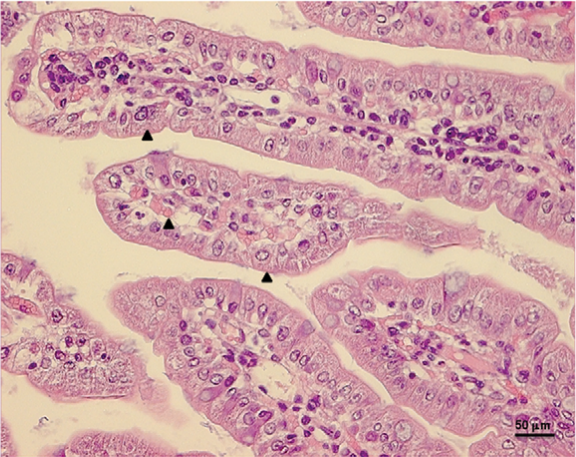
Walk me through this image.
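Several small intestinal villi in longitudinal section are each covered by a single layer of epithelial cells. These cells have round nuclei, often with a visible nucleolus, and pale pink, somewhat clear cytoplasm, and many appear squat, close to cuboidal, rather than tall and columnar. The core of each villus, the lamina propria, is packed with cells that have small, dark purple nuclei. Small red-pink red blood cells lie scattered among them.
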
